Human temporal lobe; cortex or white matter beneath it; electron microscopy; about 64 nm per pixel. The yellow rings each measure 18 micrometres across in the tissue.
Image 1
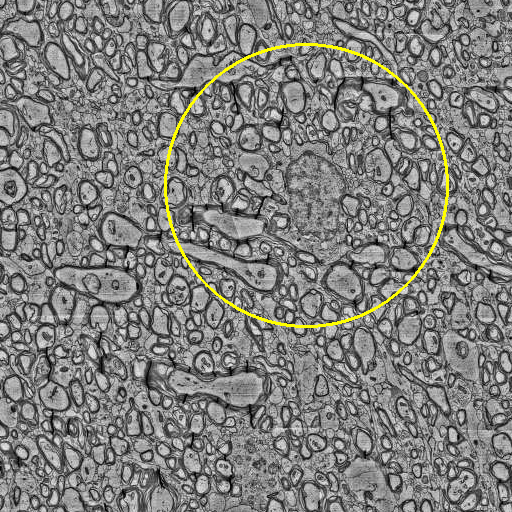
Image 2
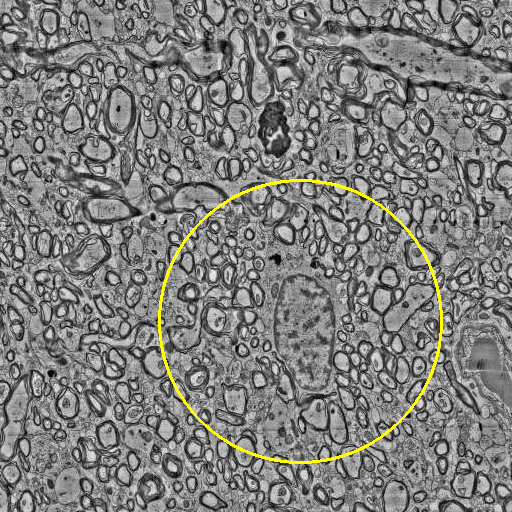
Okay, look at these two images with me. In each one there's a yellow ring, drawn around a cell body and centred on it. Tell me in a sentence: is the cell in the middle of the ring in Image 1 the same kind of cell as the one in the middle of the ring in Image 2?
Yes, they're the same kind of cell.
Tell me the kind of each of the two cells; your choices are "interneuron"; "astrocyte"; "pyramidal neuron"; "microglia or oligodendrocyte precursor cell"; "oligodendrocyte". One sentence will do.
Both pictures show an oligodendrocyte at the centre of the ring.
